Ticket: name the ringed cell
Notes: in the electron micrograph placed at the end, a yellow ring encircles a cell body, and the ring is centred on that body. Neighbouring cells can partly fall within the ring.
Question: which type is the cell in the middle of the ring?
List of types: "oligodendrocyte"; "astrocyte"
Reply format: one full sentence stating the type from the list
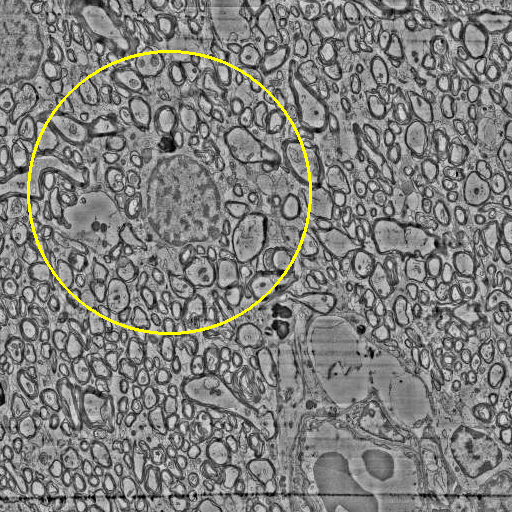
The cell sitting at the centre of the yellow ring is an oligodendrocyte.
